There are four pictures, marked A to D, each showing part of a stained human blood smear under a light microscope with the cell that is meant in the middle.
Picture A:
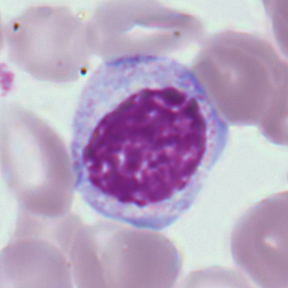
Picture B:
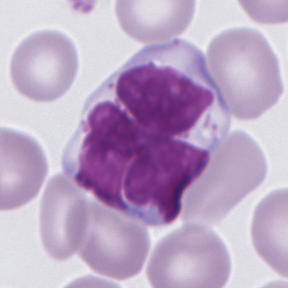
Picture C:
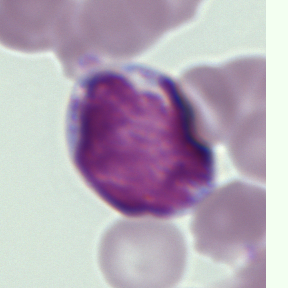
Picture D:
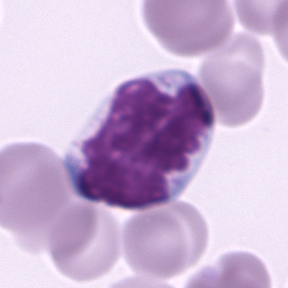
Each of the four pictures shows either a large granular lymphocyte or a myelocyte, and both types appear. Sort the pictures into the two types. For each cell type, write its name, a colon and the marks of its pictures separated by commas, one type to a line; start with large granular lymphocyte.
large granular lymphocyte: B, C, D
myelocyte: A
